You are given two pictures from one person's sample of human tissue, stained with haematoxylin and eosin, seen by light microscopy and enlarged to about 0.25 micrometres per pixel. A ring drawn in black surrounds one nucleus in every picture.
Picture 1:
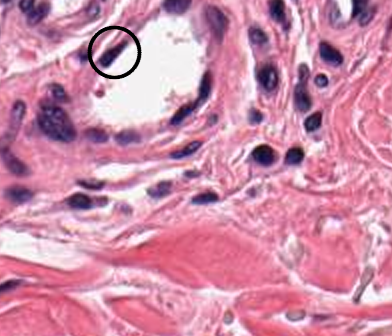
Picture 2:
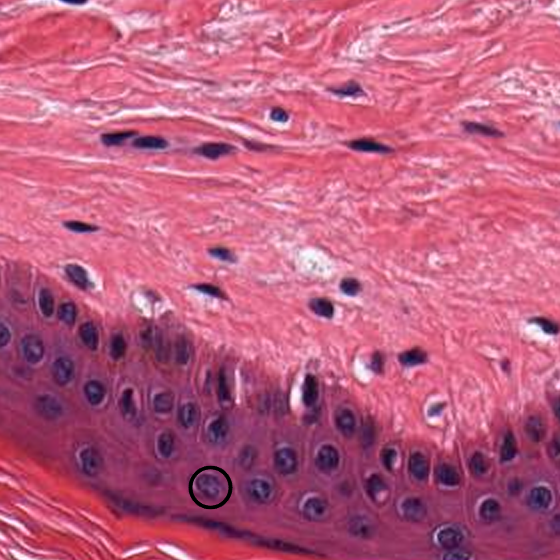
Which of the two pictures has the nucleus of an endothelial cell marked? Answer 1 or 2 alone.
1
